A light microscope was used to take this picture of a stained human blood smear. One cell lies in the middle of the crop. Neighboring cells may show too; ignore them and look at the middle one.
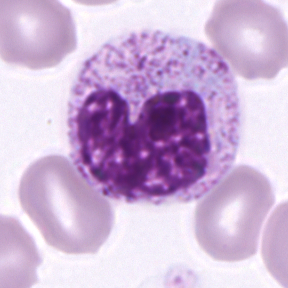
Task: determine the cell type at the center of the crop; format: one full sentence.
The cell in the exact centre of the crop is a metamyelocyte.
